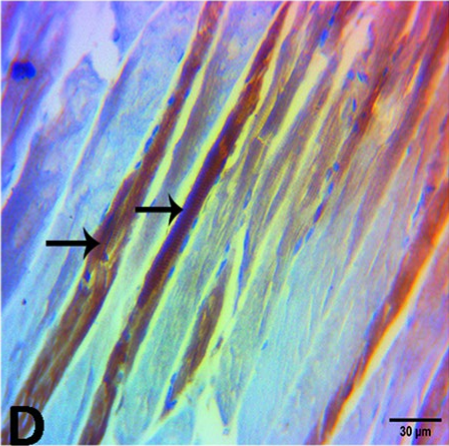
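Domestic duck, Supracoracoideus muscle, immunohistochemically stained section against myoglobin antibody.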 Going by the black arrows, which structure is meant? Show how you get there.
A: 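The arrows point to long, darkly brown-stained fibres. The stained fibres run in parallel with paler fibres beside them.
Answer: cross striations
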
